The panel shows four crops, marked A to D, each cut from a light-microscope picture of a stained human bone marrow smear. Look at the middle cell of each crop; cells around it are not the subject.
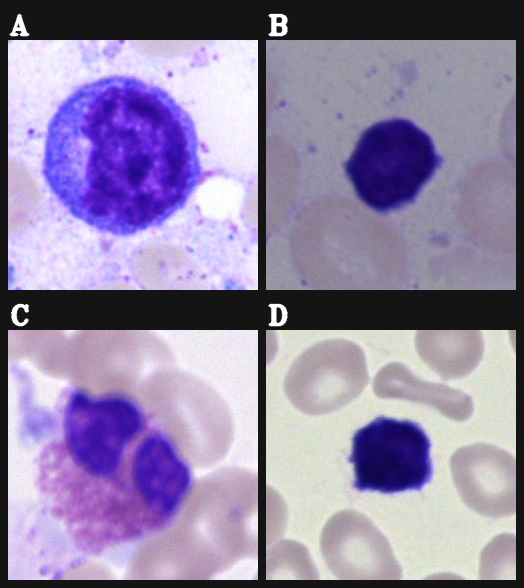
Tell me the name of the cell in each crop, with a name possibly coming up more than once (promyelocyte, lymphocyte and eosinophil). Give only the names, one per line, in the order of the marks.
promyelocyte
lymphocyte
eosinophil
lymphocyte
